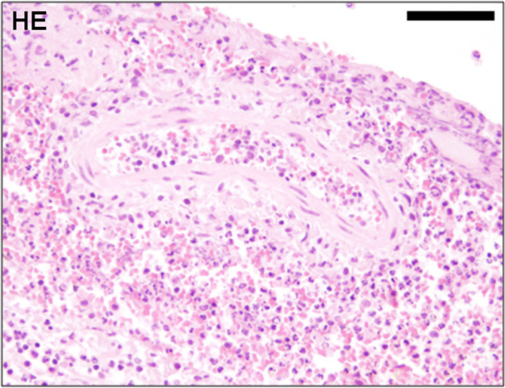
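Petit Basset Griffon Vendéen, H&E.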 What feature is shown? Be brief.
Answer: Arteries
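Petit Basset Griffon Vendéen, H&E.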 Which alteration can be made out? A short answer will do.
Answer: Perivascular infiltration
